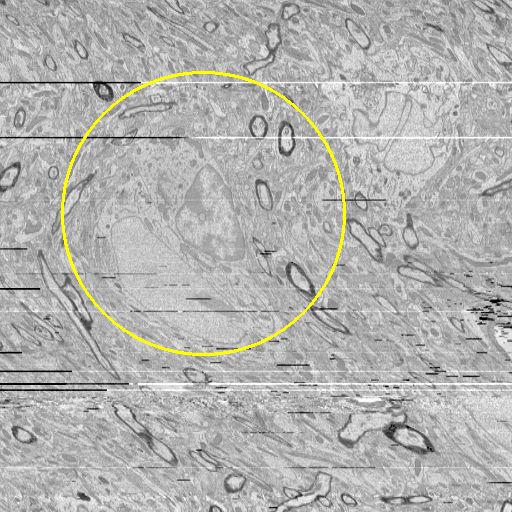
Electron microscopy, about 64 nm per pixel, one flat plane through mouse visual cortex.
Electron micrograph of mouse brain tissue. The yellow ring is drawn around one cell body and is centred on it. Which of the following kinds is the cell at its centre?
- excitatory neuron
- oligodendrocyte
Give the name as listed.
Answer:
oligodendrocyte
